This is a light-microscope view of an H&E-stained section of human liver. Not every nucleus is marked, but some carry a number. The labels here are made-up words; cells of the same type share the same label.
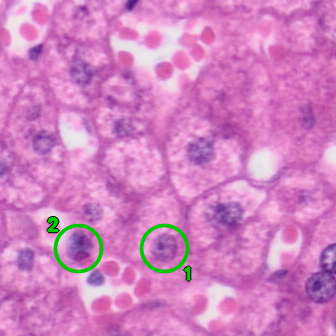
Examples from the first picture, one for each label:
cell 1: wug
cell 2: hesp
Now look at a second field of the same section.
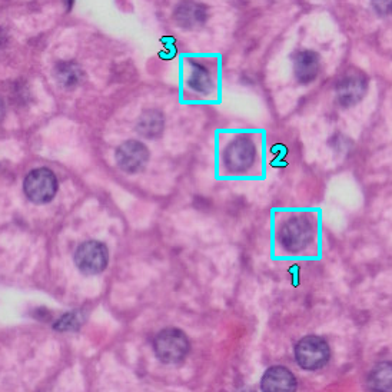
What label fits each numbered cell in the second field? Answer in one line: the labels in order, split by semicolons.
wug; wug; hesp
